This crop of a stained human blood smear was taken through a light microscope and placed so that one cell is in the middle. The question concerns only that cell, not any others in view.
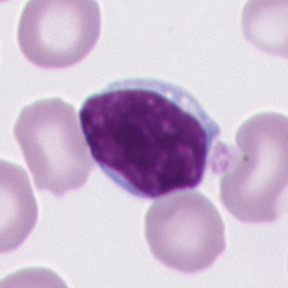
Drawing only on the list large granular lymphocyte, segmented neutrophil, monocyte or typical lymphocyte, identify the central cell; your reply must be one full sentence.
The cell in the middle of the field of view is a typical lymphocyte.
